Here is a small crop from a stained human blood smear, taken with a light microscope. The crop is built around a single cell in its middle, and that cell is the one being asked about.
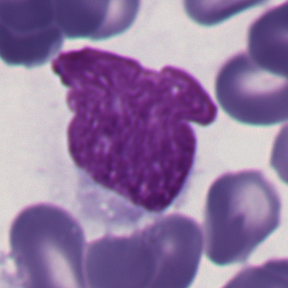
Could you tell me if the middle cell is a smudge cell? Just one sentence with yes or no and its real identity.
No, the cell in the middle is a myeloblast, not a smudge cell.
